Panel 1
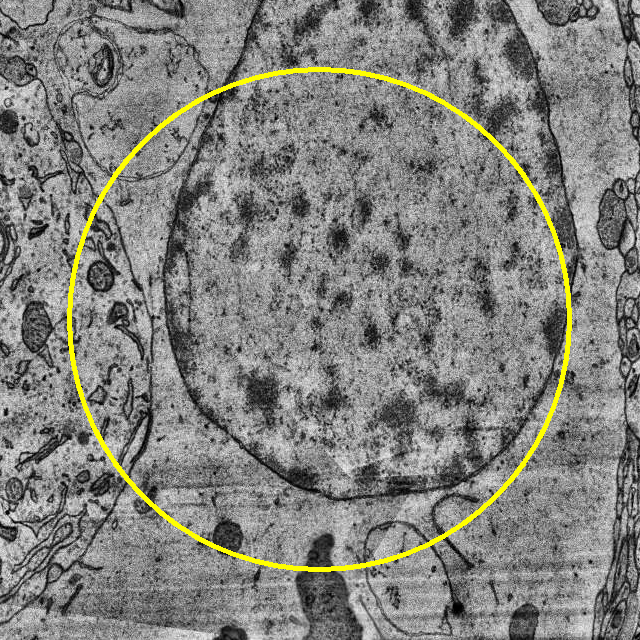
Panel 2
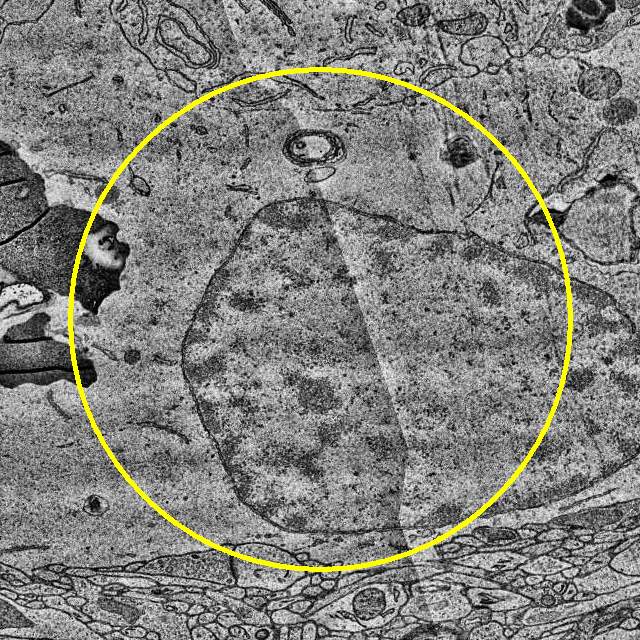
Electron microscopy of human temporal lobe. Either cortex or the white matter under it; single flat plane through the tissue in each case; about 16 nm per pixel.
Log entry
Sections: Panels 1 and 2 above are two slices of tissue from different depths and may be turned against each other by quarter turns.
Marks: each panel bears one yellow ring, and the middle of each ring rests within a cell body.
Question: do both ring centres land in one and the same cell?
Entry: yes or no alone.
yes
